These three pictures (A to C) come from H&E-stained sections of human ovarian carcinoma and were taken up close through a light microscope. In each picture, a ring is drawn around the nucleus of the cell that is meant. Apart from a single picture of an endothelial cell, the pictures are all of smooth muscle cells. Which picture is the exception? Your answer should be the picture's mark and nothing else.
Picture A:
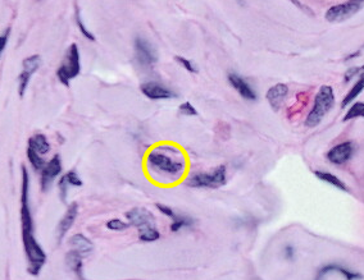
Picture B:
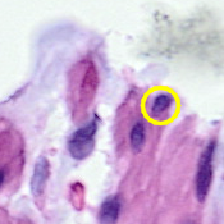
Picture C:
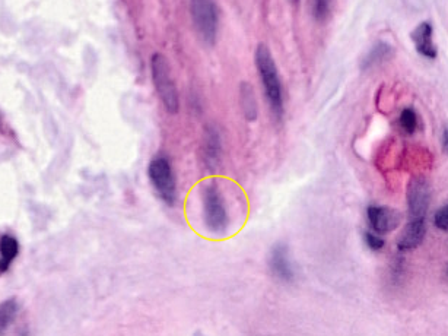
A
